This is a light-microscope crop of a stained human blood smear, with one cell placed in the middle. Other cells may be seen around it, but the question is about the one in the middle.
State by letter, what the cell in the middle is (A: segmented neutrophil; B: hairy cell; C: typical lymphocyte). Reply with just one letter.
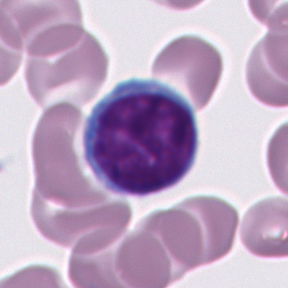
C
